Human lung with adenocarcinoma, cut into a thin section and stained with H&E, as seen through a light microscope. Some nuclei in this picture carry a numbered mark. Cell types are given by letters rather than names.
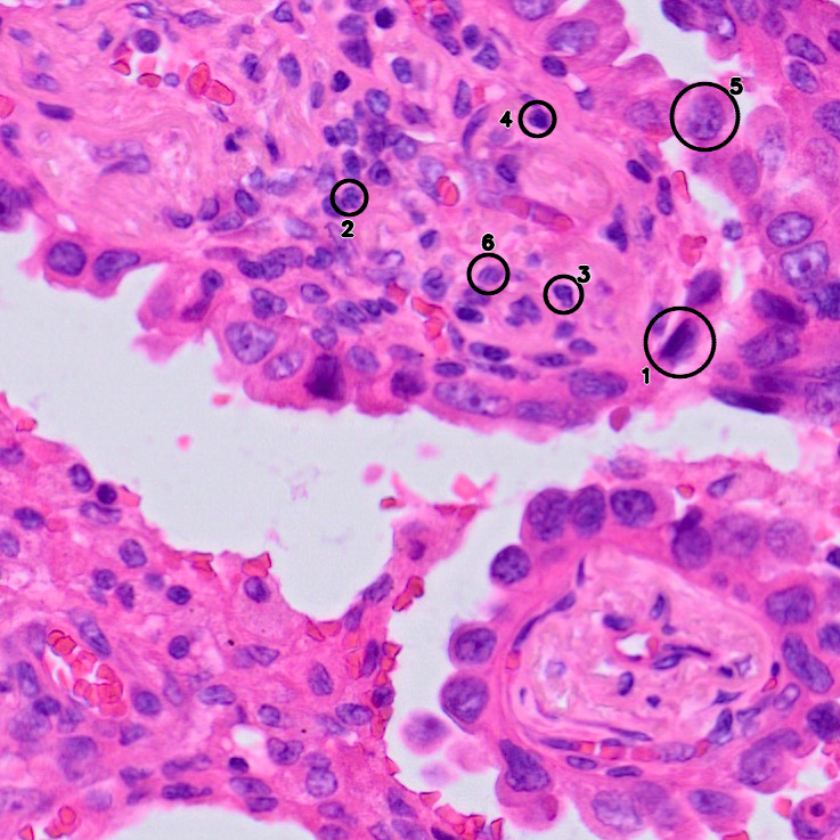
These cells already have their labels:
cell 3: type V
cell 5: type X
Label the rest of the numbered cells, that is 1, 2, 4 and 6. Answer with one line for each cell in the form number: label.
1: type X
2: type V
4: type V
6: type V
